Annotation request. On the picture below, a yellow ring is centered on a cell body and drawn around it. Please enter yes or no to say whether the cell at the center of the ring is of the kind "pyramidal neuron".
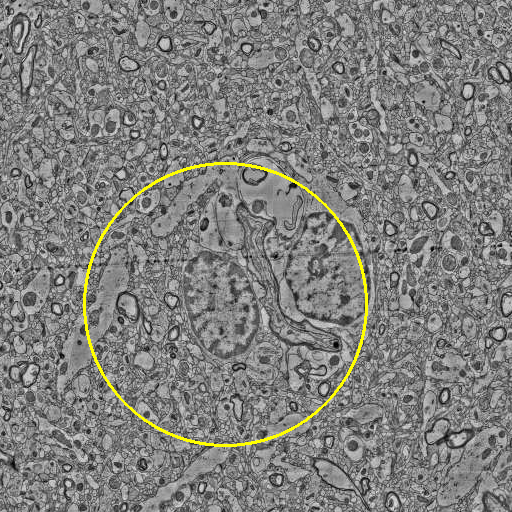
no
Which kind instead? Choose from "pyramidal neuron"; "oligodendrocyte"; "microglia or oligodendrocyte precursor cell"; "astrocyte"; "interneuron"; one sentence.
As it turns out, the cell at the ring centre is an oligodendrocyte.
